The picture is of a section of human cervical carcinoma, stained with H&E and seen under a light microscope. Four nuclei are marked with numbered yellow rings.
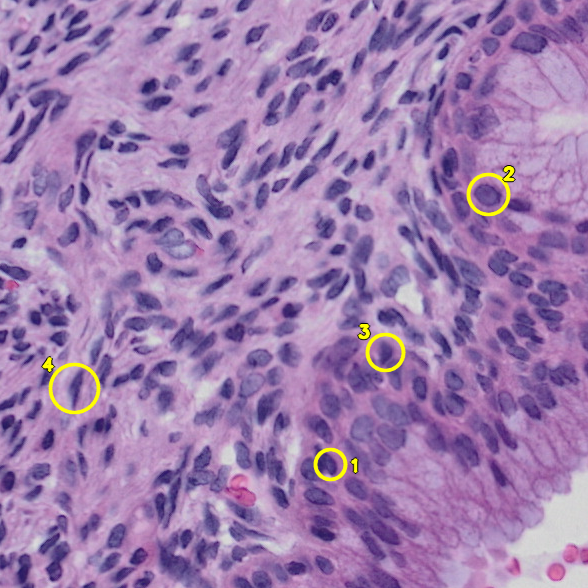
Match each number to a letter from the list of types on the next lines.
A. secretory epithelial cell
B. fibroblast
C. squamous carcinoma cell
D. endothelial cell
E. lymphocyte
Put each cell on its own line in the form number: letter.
1: A
2: A
3: A
4: B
